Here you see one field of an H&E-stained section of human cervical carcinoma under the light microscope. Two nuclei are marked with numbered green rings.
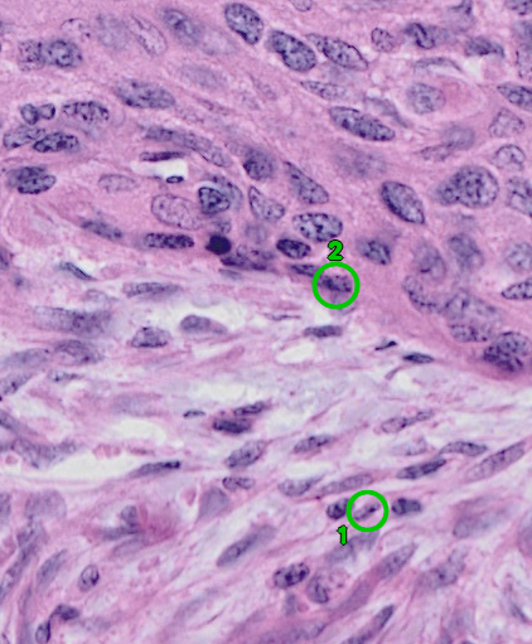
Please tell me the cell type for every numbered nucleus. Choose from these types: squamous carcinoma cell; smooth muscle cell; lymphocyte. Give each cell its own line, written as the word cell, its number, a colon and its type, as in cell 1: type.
cell 1: lymphocyte
cell 2: squamous carcinoma cell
